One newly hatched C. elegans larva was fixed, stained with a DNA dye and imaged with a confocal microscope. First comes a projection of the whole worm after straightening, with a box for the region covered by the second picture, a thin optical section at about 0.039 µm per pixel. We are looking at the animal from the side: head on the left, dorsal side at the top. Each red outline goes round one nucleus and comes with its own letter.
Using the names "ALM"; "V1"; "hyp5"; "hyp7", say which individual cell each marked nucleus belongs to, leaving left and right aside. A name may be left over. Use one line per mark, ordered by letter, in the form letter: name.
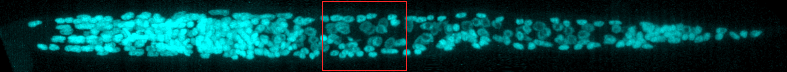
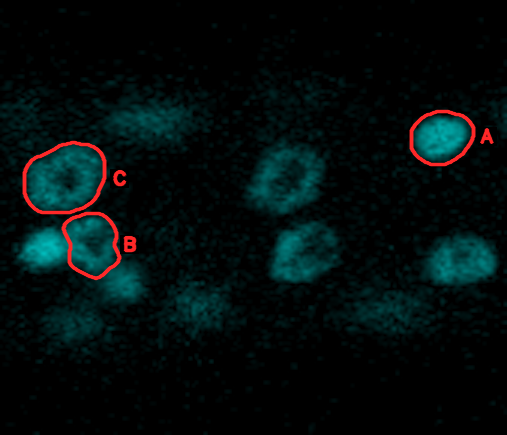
A: ALM
B: V1
C: hyp7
